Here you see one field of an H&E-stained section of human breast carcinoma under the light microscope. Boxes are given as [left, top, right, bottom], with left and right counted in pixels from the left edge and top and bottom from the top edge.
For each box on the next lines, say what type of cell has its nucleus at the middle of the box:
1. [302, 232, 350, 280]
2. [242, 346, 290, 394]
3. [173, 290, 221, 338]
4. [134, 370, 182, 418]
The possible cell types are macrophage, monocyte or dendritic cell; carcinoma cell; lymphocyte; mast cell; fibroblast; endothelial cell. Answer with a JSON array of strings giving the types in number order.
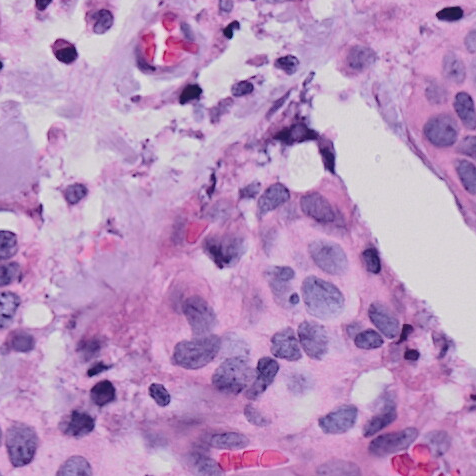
["carcinoma cell", "carcinoma cell", "carcinoma cell", "lymphocyte"]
